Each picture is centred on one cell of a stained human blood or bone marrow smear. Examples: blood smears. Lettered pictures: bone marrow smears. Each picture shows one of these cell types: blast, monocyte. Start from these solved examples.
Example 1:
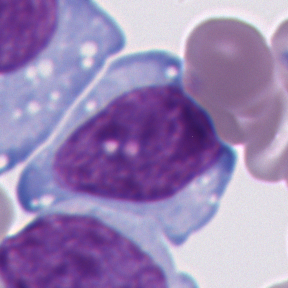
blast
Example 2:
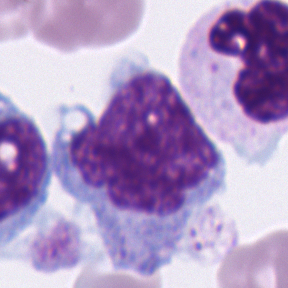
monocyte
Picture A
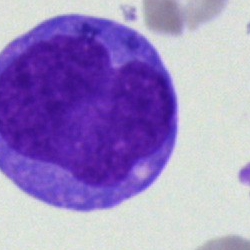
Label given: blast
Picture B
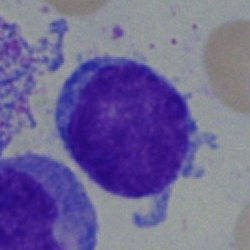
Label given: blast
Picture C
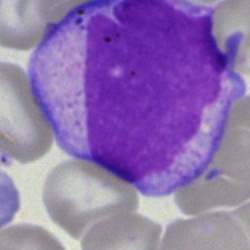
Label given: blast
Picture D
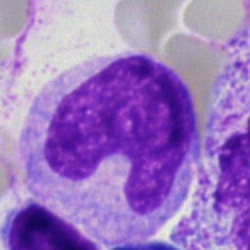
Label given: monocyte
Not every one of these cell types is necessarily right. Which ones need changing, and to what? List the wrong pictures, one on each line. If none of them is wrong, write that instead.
Nothing to fix; every label fits.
